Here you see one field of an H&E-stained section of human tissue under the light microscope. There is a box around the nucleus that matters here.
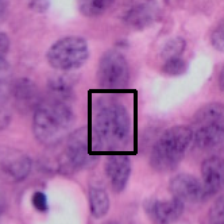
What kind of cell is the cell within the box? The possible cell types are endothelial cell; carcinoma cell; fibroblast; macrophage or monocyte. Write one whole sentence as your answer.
Right, so the cell within the box is a carcinoma cell, to answer that.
